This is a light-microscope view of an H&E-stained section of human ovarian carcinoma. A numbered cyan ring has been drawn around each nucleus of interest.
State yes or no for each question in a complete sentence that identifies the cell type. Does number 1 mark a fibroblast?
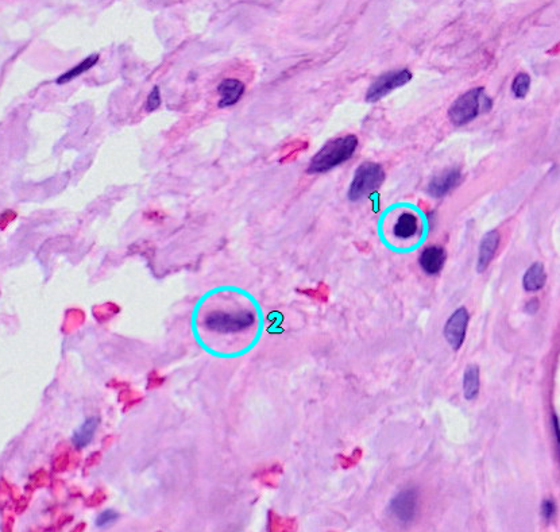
No, cell 1 is not a fibroblast at all but a lymphocyte.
